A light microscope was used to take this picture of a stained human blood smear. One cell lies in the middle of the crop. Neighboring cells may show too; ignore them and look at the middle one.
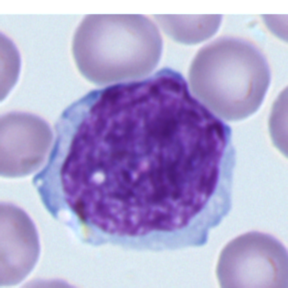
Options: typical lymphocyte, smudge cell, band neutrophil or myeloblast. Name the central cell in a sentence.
Regarding the central cell, it is a myeloblast.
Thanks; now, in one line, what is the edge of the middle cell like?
It is the contour of the cell that is irregular, being ragged or projecting outward.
